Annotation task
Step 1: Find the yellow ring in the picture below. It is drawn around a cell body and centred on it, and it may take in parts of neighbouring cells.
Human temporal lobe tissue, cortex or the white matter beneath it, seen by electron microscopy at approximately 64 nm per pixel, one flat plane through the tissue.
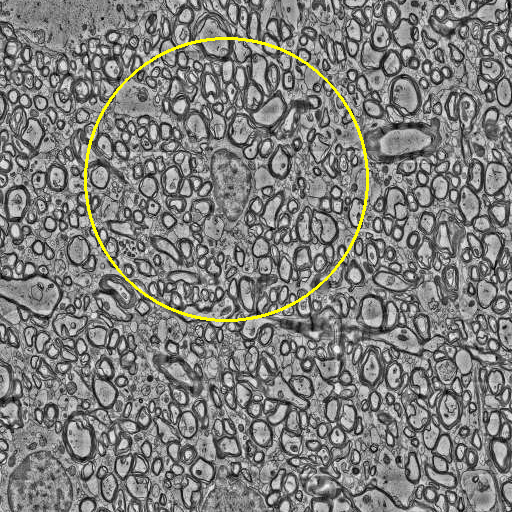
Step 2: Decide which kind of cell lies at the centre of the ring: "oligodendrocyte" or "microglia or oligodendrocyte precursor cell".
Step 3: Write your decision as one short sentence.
The kind of cell at the ring's centre is an oligodendrocyte.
